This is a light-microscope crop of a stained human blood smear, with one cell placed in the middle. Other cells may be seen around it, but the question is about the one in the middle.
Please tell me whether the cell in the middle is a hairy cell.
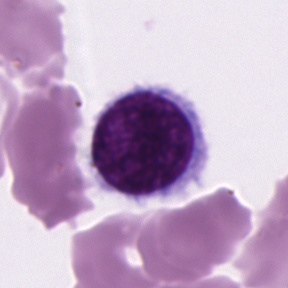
yes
